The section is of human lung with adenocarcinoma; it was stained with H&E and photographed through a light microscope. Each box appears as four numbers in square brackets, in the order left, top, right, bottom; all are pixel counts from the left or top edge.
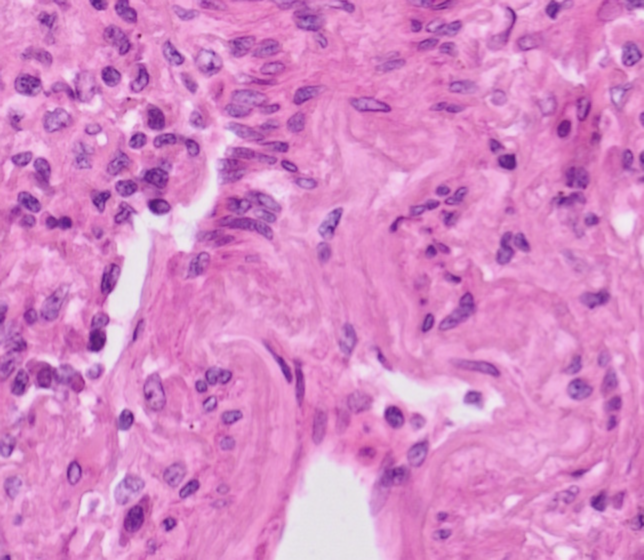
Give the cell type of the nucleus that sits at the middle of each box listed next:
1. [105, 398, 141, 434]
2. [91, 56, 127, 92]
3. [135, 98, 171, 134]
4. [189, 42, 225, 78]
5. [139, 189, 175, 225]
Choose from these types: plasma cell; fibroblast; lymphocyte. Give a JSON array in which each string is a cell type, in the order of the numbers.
["lymphocyte", "lymphocyte", "plasma cell", "fibroblast", "lymphocyte"]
